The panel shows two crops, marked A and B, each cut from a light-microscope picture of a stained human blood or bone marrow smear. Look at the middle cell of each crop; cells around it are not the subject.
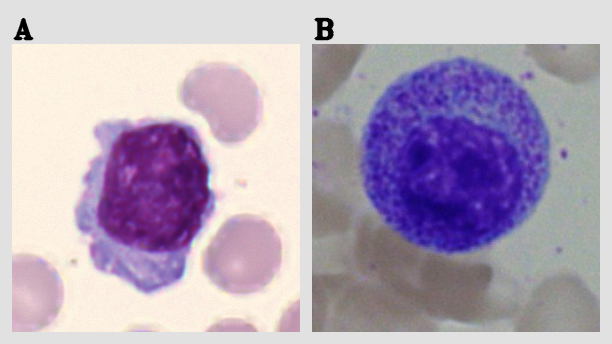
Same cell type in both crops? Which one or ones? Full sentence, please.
No, the central cell of crop A is a plasma cell; that of crop B is a myelocyte.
